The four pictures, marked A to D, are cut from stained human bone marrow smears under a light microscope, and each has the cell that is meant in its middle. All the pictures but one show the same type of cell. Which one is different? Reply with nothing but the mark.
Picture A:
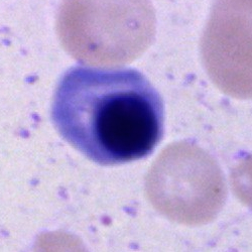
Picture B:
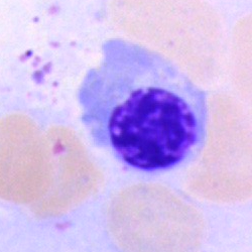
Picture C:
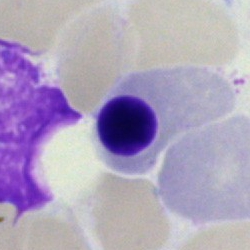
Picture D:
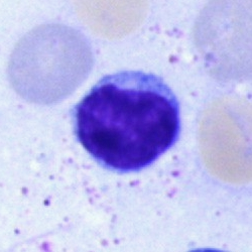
D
